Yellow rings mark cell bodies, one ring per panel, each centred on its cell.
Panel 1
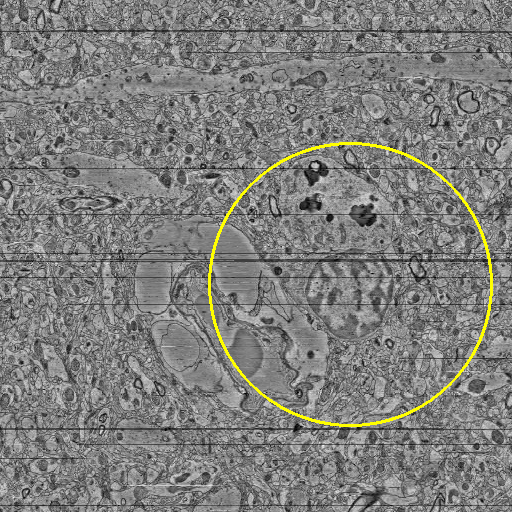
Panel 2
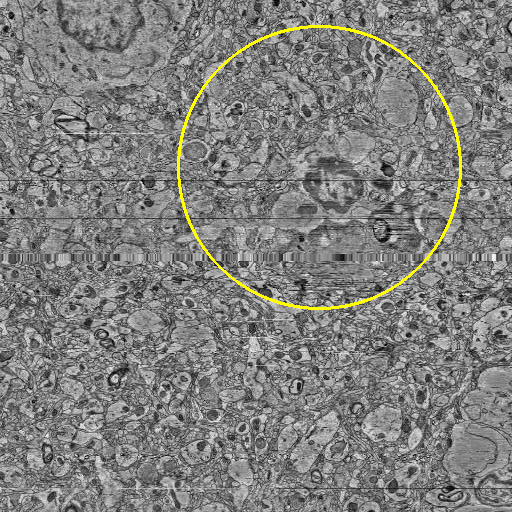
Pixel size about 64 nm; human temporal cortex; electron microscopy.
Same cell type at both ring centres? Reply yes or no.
no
